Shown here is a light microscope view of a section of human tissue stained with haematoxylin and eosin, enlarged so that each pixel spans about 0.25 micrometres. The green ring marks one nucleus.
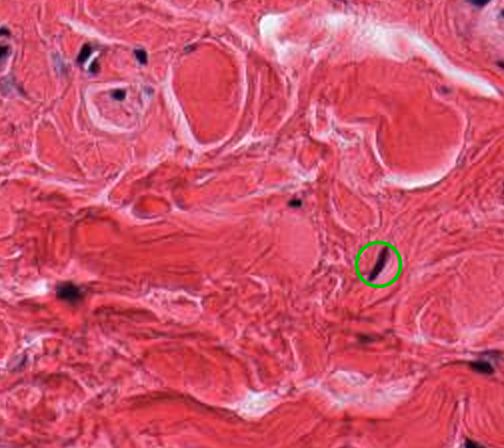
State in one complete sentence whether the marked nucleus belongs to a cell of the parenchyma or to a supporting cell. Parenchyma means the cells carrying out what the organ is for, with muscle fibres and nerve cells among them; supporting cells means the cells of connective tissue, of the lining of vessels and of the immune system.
Forming part of a supporting cell is the marked nucleus.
